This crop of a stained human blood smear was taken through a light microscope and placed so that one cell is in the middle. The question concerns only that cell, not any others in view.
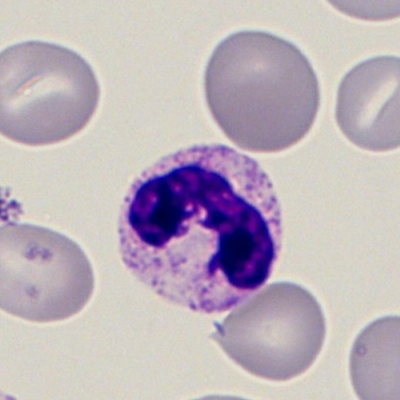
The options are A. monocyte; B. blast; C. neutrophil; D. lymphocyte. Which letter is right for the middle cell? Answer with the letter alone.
C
